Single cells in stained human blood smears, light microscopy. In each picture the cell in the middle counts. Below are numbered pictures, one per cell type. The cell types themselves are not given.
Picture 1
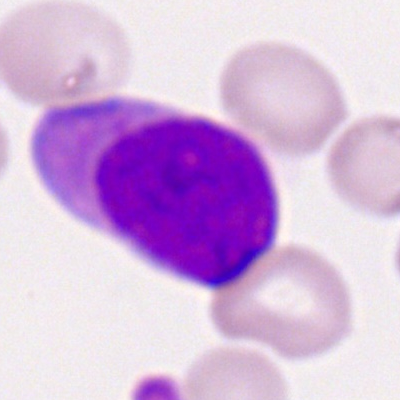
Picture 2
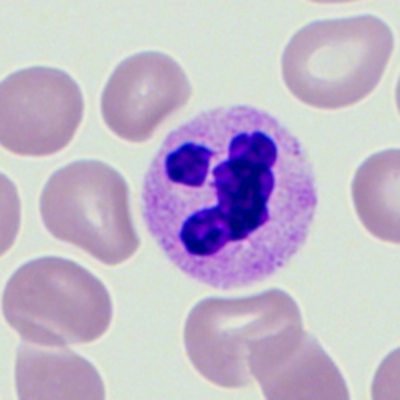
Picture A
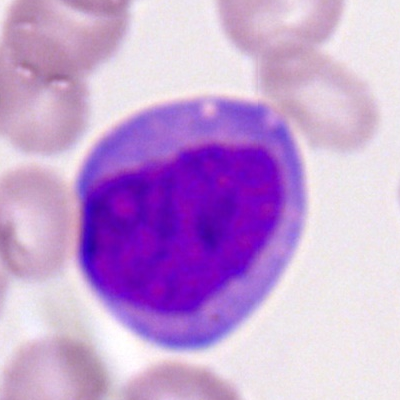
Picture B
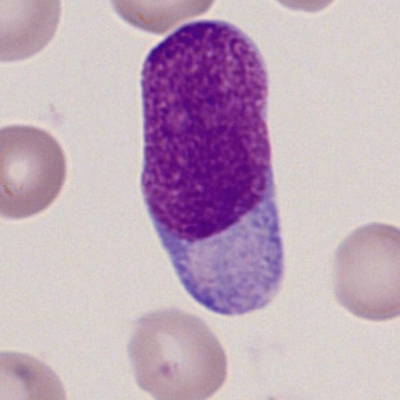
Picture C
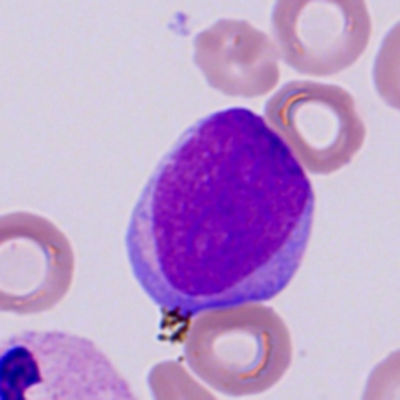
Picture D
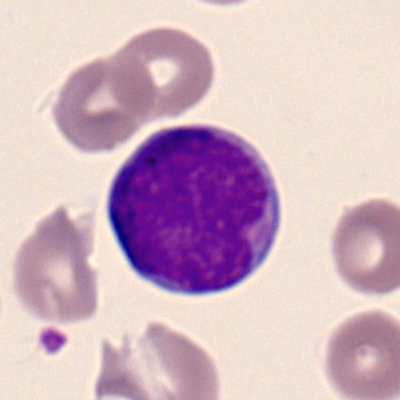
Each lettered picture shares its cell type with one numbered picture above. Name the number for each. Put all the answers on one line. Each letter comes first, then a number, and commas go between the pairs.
A 1, B 1, C 1, D 1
